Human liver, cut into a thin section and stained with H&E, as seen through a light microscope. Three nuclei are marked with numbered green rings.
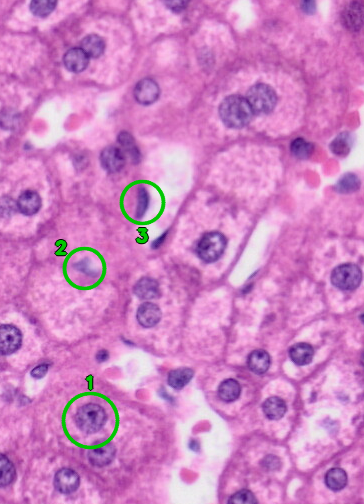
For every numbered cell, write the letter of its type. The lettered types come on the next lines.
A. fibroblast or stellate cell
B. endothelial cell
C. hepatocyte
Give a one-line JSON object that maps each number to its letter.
{"1": "C", "2": "B", "3": "A"}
